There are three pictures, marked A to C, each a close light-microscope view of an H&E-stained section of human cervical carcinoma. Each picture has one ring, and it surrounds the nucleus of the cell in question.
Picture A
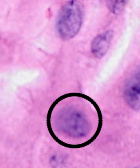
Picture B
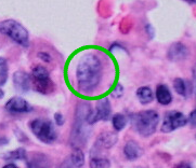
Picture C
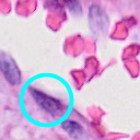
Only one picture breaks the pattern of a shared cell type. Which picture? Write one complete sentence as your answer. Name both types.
The different one is picture A; it shows a squamous carcinoma cell, whereas all the others show endothelial cells.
